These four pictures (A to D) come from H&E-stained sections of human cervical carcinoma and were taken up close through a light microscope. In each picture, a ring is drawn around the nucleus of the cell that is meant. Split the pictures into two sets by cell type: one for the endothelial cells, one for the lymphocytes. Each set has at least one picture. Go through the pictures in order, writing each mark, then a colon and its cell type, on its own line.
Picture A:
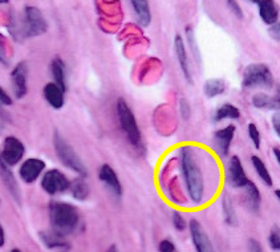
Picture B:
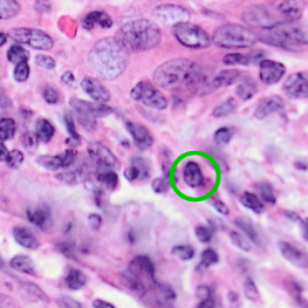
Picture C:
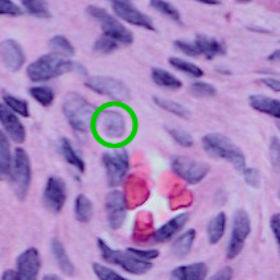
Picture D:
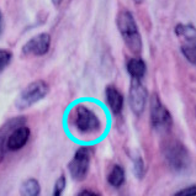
A: endothelial cell
B: lymphocyte
C: endothelial cell
D: lymphocyte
